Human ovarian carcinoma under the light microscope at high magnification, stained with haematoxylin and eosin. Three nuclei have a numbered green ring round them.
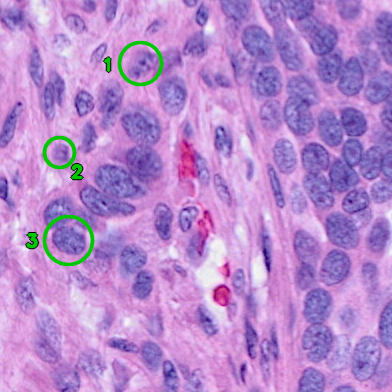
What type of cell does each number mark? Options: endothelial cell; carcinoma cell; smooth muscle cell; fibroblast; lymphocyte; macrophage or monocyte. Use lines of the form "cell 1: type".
cell 1: fibroblast
cell 2: fibroblast
cell 3: carcinoma cell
